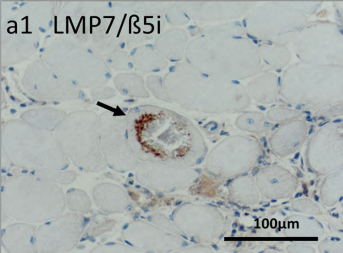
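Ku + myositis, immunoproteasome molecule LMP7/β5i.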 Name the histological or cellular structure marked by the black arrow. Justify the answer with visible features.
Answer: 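One fiber holds coarse brown granular deposits. Neighbouring fibers are unstained. That points to this answer: sarcoplasmic and subsarcolemmal aggregates.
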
